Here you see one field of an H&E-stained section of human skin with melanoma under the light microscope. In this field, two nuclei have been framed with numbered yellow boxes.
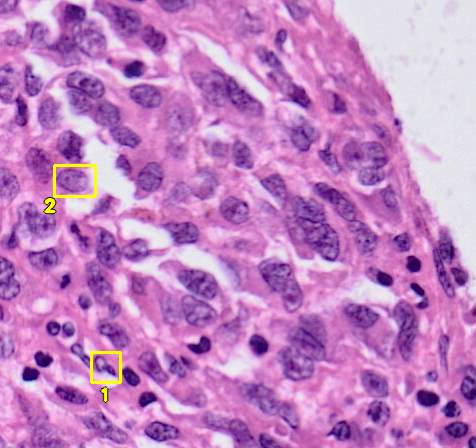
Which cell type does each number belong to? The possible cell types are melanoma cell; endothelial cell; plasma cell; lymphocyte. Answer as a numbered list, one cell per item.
1. endothelial cell
2. melanoma cell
